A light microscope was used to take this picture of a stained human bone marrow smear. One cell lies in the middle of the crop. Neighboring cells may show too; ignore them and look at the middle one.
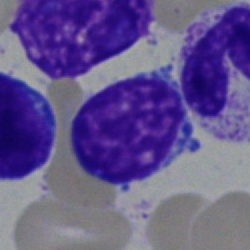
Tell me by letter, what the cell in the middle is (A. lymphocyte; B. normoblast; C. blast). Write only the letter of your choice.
A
